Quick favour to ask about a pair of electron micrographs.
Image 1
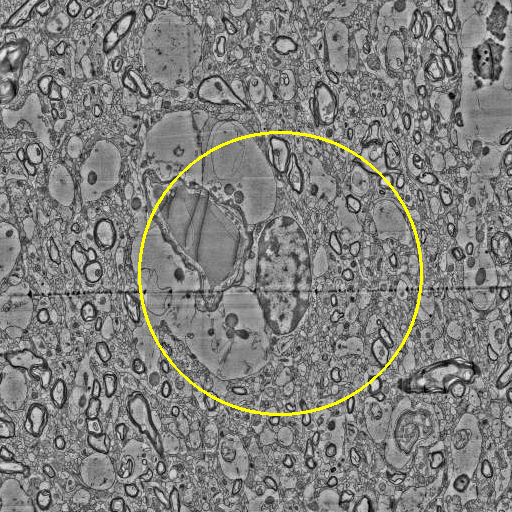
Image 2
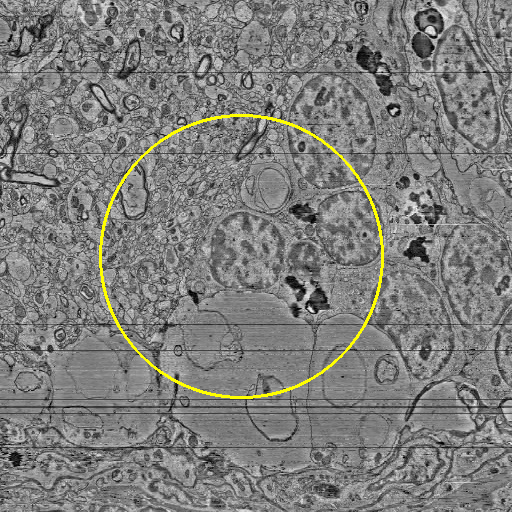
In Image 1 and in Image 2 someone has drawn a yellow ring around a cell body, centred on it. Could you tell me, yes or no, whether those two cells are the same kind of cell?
no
